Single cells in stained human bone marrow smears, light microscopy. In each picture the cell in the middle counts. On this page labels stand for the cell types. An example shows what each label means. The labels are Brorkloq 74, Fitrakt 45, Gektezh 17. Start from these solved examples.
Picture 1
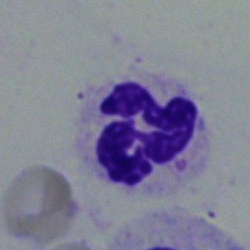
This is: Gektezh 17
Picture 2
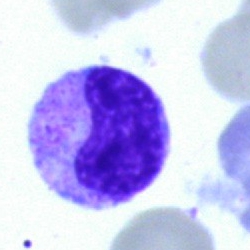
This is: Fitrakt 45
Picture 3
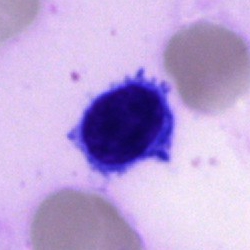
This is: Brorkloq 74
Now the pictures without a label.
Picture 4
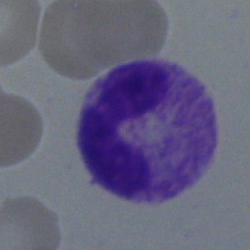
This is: Fitrakt 45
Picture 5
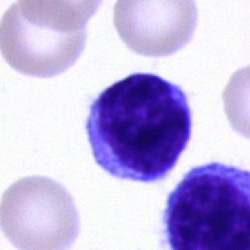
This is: Brorkloq 74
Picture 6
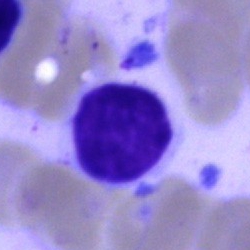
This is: Brorkloq 74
